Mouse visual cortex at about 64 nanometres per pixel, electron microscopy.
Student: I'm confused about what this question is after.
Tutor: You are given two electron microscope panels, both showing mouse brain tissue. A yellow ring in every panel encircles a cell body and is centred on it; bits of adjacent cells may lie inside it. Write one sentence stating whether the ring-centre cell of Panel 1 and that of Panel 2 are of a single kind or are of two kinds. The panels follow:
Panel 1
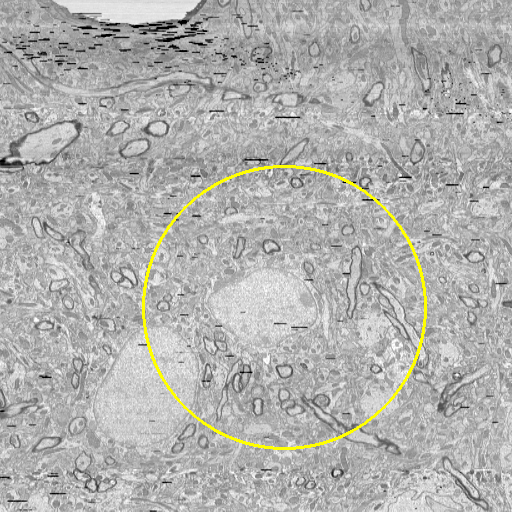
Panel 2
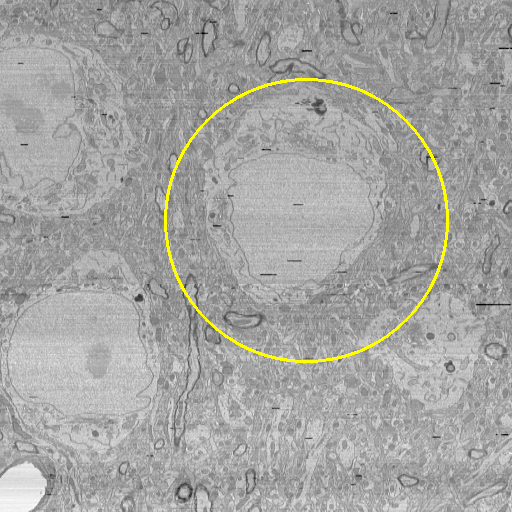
Here, the Panel 1 ring-centre cell and the Panel 2 ring-centre cell are of two kinds.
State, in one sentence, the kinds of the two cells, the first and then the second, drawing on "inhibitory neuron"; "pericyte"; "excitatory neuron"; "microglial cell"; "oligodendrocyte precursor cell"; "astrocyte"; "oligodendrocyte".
The ring in the second picture is centred on an excitatory neuron, the ring in the first on an astrocyte.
